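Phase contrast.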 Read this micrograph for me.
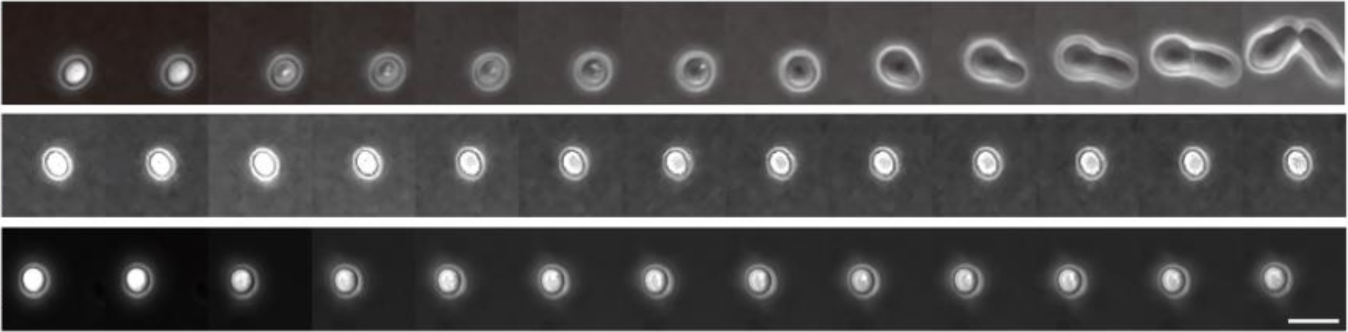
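In the top row the spore gradually darkens, swells and becomes rounder, then pushes out an elongated germ tube that forms a long bulging outgrowth by the last frames. In the two lower rows the spores stay small, bright and oval throughout, with no swelling and no outgrowth.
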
